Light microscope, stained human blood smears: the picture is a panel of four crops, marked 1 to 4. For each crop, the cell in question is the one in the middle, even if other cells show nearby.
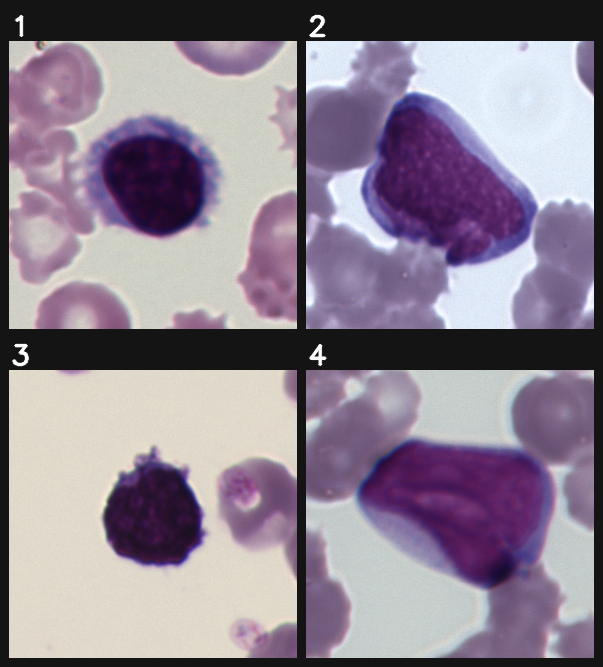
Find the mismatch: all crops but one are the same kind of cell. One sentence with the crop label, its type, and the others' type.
Crop 1 shows a hairy cell, while all of the others show myeloblasts.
